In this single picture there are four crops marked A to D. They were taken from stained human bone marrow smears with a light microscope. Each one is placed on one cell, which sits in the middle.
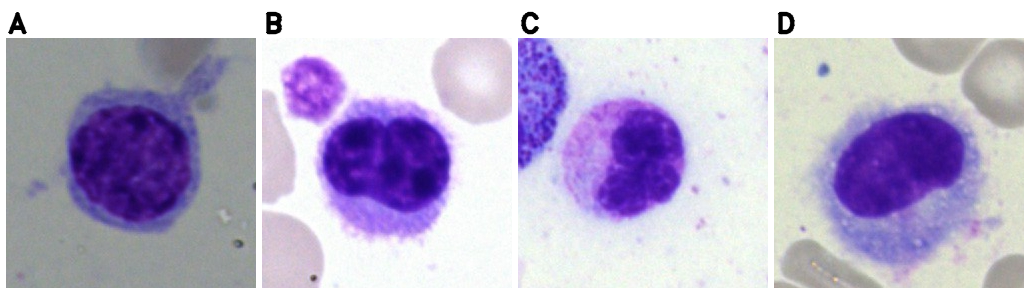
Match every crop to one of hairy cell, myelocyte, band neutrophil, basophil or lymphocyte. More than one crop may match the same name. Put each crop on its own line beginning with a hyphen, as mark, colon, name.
- A: hairy cell
- B: hairy cell
- C: basophil
- D: hairy cell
